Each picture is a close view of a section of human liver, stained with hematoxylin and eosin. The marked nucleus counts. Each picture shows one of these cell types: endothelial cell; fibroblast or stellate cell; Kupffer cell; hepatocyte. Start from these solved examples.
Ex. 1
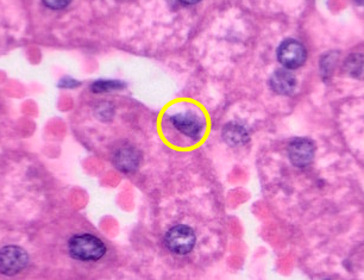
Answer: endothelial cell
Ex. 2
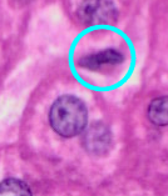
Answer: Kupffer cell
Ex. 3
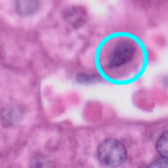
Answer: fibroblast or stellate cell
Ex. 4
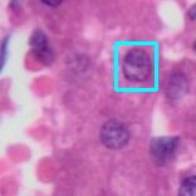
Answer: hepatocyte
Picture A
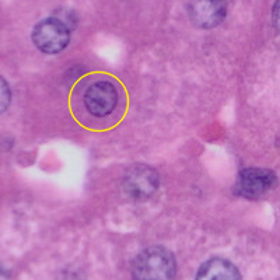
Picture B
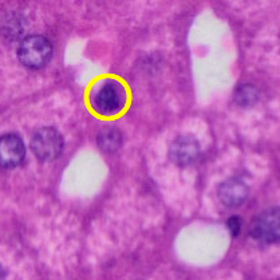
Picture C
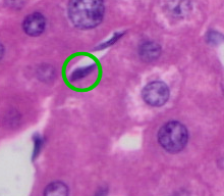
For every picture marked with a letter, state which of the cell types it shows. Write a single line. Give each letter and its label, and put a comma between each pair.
A hepatocyte, B fibroblast or stellate cell, C fibroblast or stellate cell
